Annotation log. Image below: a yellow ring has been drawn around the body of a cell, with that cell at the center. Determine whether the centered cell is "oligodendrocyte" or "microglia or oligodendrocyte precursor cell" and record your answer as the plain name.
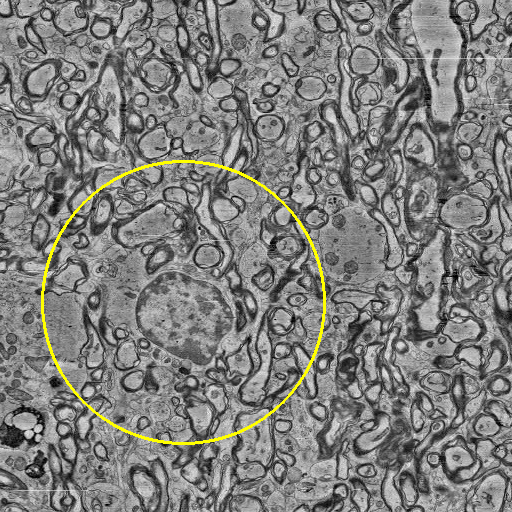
microglia or oligodendrocyte precursor cell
